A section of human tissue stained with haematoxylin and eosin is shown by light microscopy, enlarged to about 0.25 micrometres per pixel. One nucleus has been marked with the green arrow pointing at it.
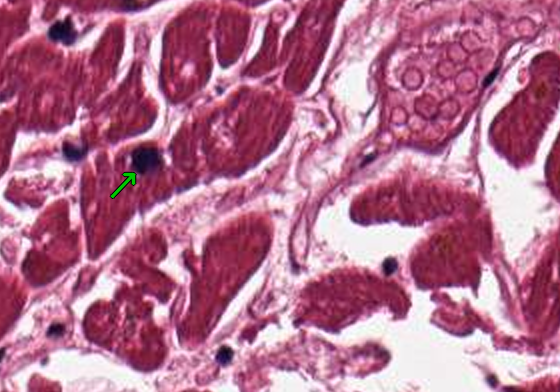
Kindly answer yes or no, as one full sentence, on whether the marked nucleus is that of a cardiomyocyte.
Yes, in this field of view the marked nucleus belongs to a cardiomyocyte.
